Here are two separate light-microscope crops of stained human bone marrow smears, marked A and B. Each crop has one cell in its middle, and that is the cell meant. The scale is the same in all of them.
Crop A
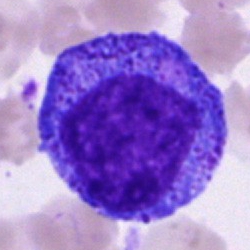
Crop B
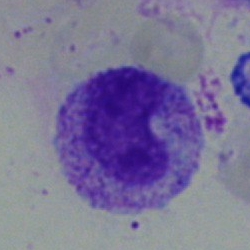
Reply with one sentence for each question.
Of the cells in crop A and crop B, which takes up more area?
The cell in crop A is larger, with about 1.5 times the area of the one in crop B.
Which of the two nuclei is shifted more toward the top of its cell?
In crop B the nucleus is shifted more toward the top.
